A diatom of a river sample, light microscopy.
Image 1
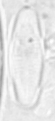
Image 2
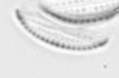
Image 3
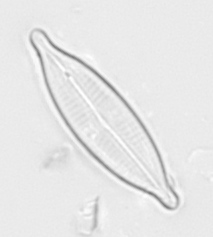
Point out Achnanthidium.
That is picture 1.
